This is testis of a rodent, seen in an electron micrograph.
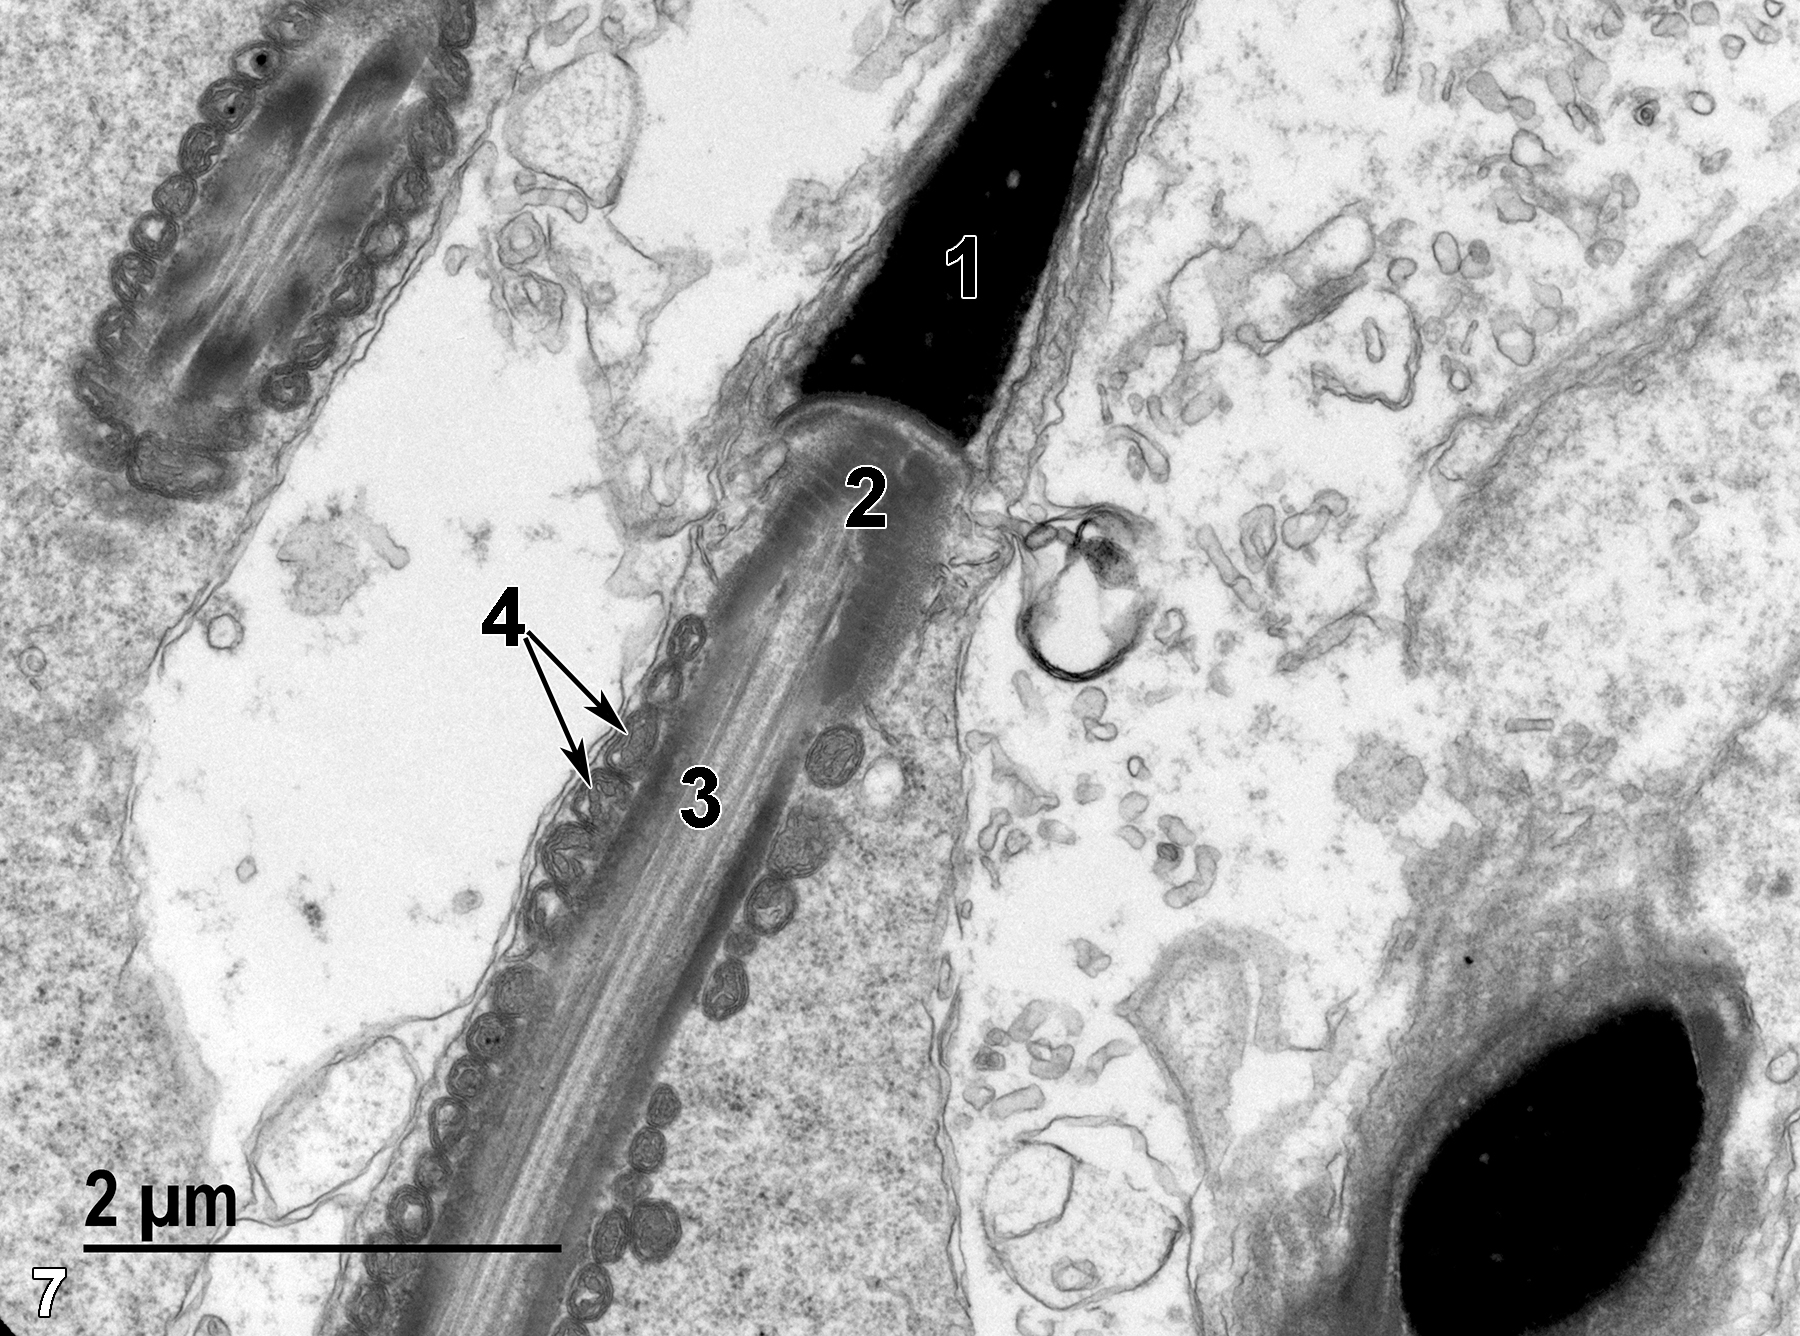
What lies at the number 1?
Nucleus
